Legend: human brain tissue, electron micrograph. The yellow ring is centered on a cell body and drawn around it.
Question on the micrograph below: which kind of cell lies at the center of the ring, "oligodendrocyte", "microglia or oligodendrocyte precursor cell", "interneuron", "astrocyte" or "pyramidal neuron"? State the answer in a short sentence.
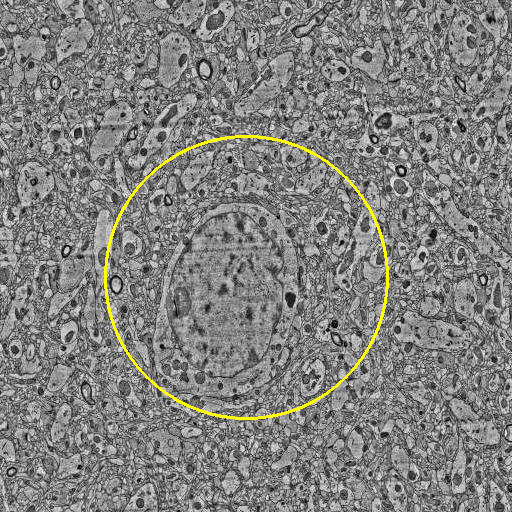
At the center of the ring lies an interneuron.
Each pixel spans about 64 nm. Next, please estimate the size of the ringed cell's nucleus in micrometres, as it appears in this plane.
Approximately 11 x 7 micrometres in this plane.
